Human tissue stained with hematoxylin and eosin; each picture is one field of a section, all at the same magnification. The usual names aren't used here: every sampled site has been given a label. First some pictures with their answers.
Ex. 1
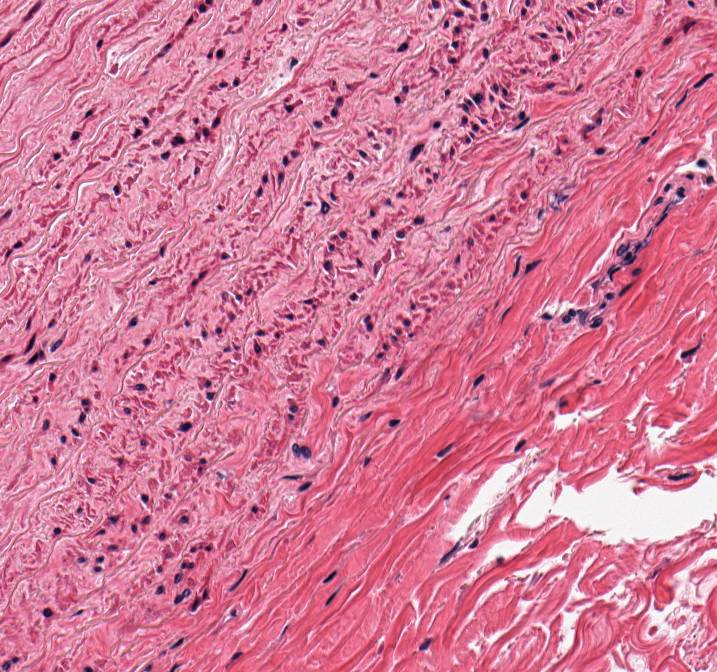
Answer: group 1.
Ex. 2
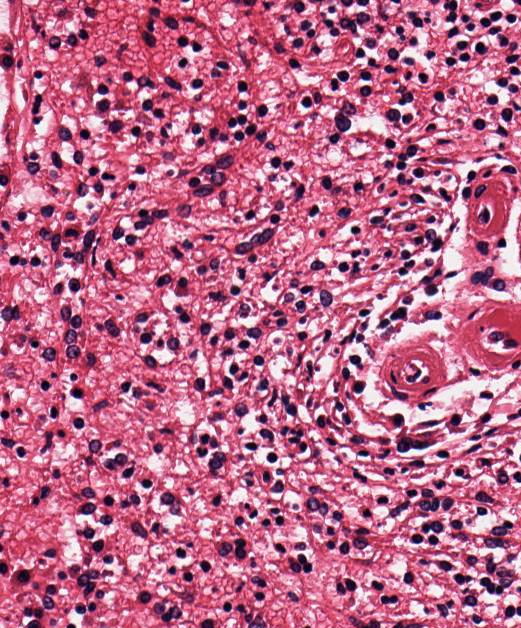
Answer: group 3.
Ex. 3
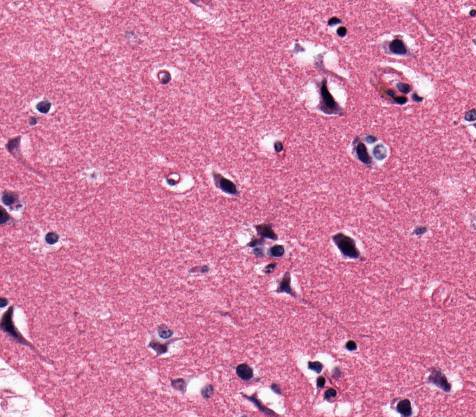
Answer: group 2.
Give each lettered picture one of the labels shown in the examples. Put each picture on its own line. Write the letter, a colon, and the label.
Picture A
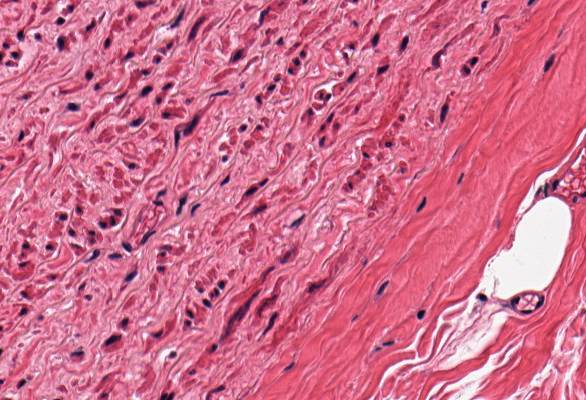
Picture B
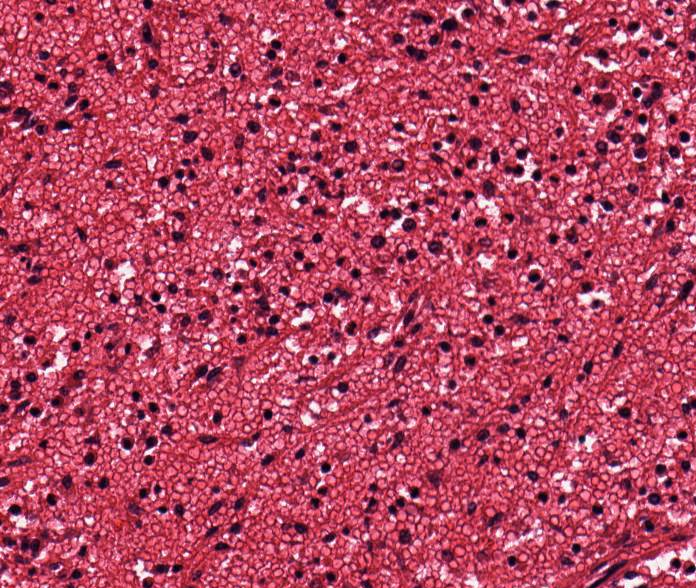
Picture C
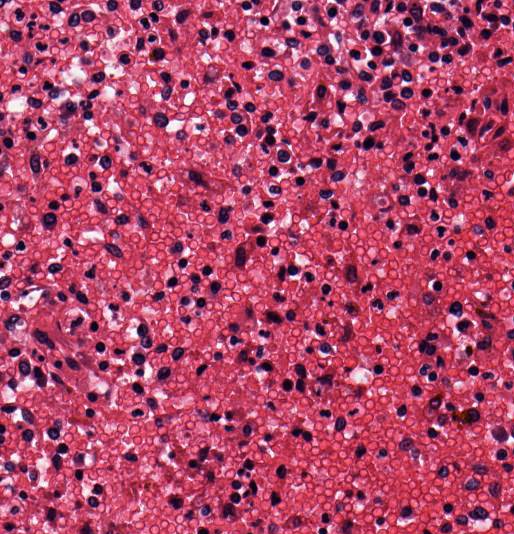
A: group 1.
B: group 3.
C: group 3.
